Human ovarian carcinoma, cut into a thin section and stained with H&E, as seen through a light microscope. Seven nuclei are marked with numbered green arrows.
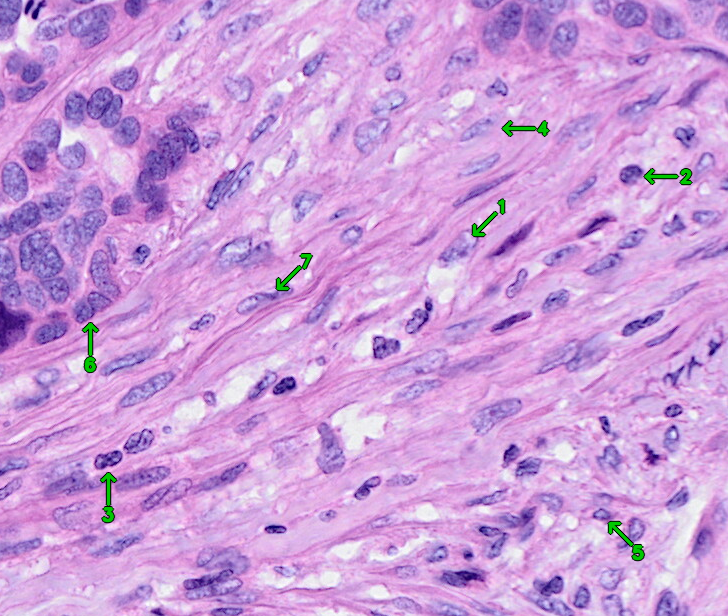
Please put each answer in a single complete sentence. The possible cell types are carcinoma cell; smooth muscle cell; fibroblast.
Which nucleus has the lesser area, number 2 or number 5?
It is nucleus 5; nucleus 2 has about 2 times its area.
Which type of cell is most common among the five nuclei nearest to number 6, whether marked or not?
Carcinoma cells make up most of the five nuclei closest to number 6.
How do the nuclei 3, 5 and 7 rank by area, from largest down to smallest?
From largest to smallest, the order is 7, 3, 5.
